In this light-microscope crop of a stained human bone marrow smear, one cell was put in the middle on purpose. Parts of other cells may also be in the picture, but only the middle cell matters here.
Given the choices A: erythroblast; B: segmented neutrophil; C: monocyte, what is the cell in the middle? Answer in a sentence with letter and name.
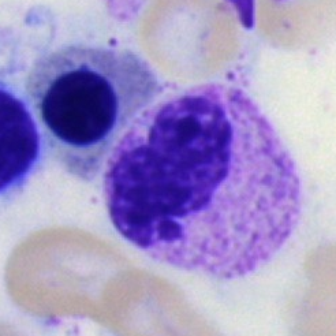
According to option B, which is correct, the cell in the middle is a segmented neutrophil.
